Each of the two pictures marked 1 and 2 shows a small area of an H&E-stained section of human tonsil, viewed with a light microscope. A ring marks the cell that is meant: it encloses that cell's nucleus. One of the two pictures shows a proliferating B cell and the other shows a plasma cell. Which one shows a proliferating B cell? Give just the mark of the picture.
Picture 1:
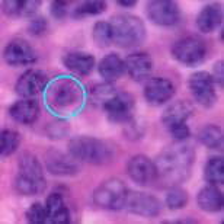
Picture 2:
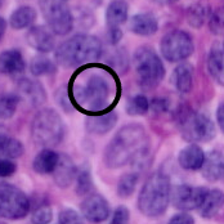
2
